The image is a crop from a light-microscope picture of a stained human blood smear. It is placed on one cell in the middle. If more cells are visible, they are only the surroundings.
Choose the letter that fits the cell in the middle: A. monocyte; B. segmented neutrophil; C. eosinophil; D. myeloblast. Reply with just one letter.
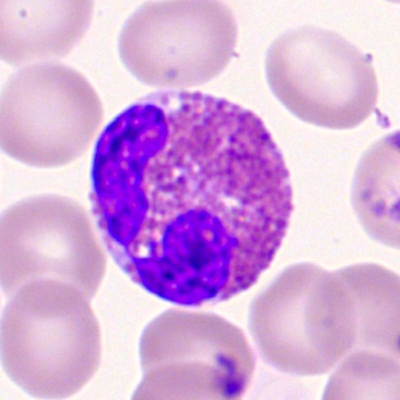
C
